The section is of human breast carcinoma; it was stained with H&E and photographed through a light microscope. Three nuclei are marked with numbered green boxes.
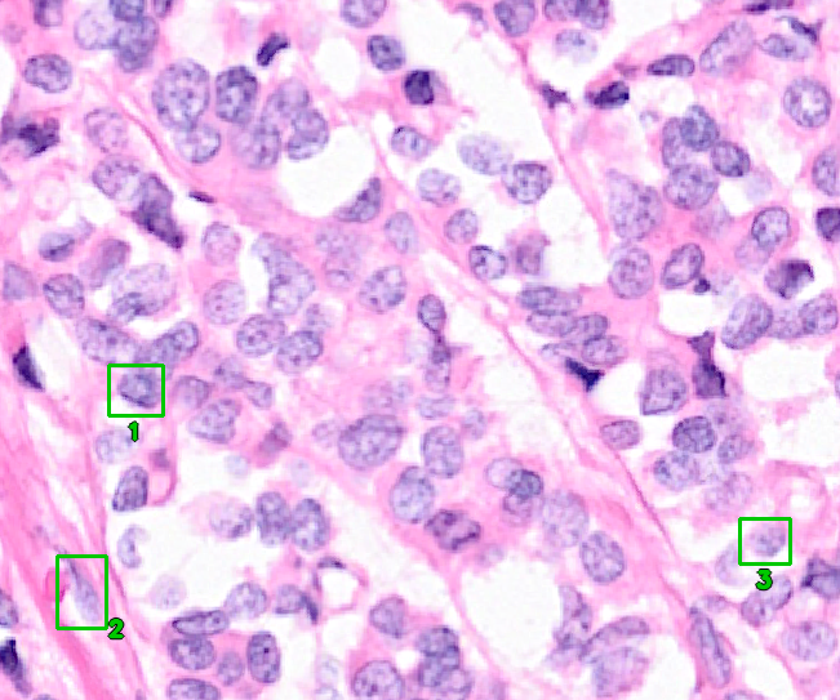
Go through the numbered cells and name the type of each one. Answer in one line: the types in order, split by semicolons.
carcinoma cell; endothelial cell; carcinoma cell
